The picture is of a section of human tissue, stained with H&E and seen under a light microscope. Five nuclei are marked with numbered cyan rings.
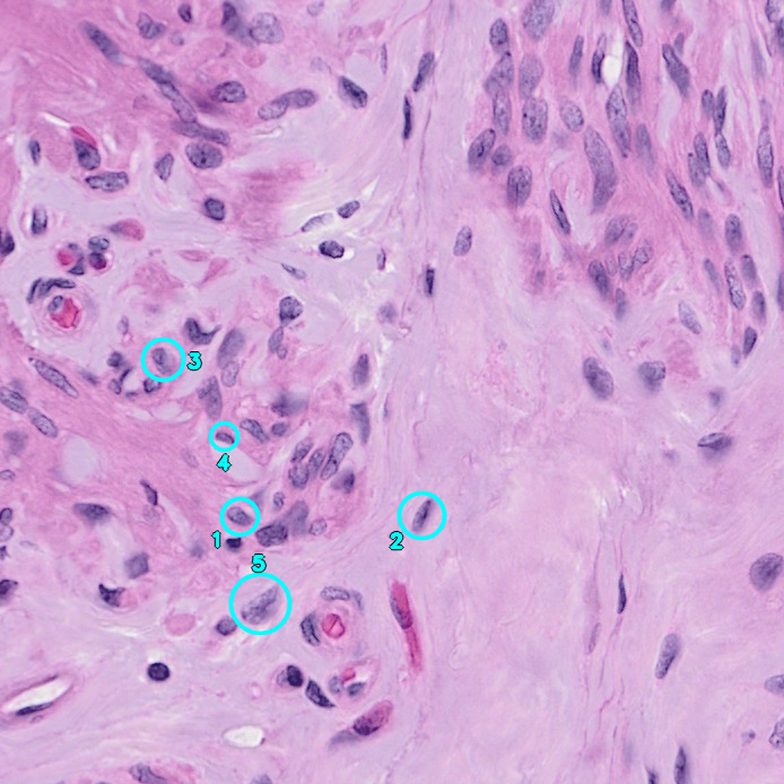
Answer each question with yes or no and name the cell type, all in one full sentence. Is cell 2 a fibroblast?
Yes, the cell pointed out as number 2 is a fibroblast.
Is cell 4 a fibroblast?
No. Cell number 4 is a smooth muscle cell, not a fibroblast.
